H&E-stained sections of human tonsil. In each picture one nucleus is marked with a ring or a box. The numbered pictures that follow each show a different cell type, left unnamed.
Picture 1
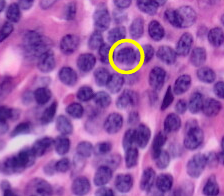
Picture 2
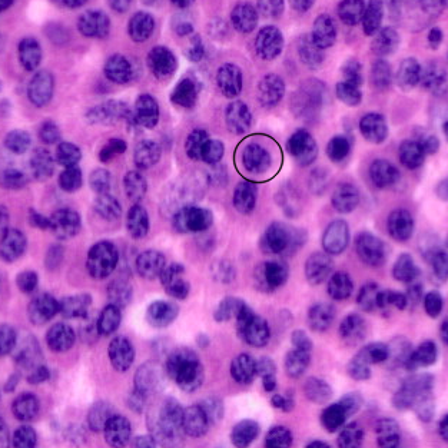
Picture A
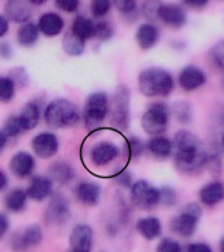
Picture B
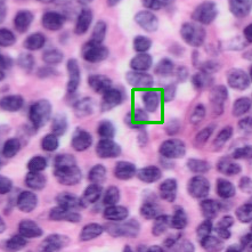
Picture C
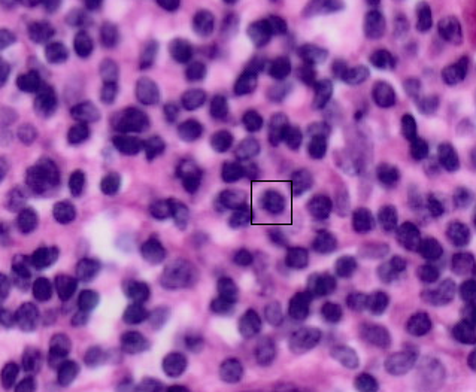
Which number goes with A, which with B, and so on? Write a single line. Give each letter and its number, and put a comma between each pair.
A 1, B 1, C 1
